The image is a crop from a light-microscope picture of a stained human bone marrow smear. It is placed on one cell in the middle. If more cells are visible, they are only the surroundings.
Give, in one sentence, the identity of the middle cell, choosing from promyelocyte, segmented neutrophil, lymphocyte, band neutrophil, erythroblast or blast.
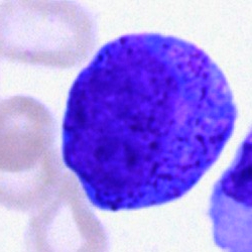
Standing at the centre of this crop is a promyelocyte.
